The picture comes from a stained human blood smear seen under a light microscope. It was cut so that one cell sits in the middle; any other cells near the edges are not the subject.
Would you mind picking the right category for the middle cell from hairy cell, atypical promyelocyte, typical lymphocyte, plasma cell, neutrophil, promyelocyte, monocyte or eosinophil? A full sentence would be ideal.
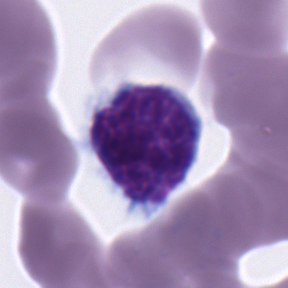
Seen at the centre of the crop is a hairy cell.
